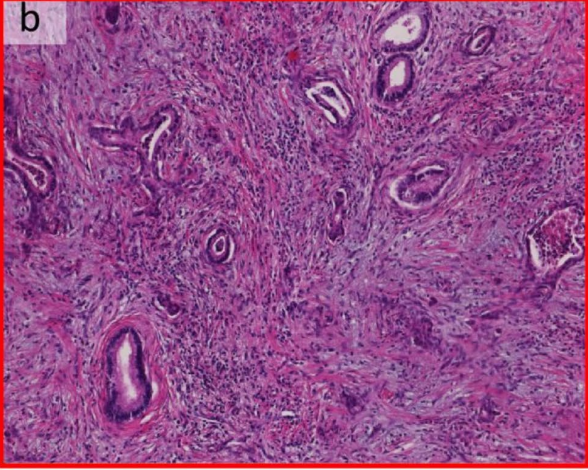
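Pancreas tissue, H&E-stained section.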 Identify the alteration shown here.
Tumor gland.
